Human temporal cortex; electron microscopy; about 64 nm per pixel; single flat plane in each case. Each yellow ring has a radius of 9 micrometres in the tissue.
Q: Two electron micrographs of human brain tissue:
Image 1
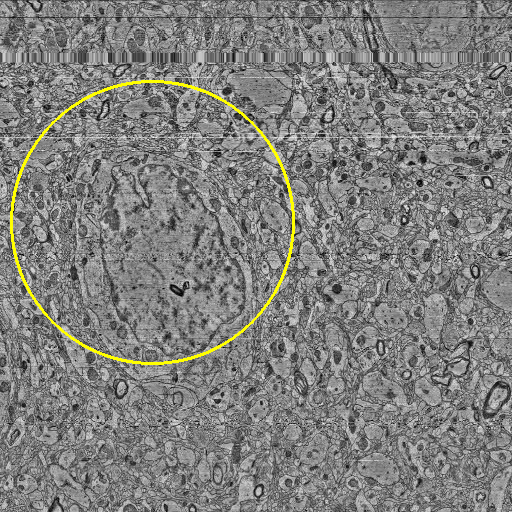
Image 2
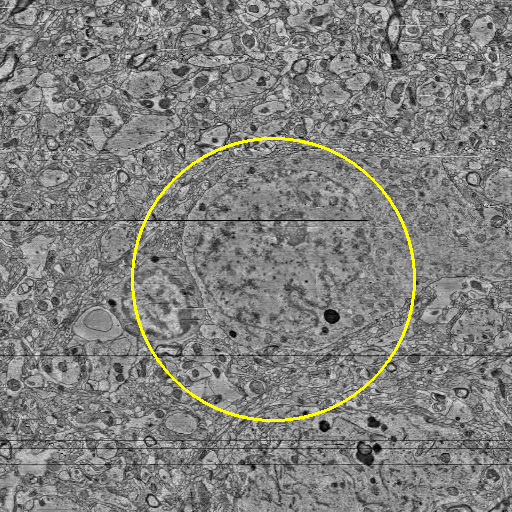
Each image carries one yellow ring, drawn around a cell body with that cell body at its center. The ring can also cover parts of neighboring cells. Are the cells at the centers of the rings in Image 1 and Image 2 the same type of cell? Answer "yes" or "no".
yes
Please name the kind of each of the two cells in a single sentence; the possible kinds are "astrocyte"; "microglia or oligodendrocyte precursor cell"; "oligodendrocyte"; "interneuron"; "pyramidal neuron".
Each one of the two ringed cells is an interneuron.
